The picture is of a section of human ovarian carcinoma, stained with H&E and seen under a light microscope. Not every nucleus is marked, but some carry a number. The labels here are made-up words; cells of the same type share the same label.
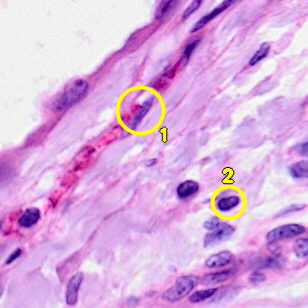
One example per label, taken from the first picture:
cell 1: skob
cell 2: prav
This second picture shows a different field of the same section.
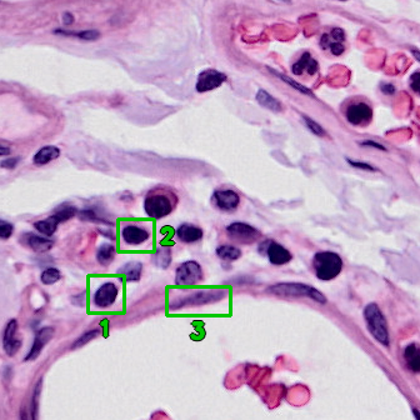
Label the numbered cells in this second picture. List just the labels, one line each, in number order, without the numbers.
prav
prav
skob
